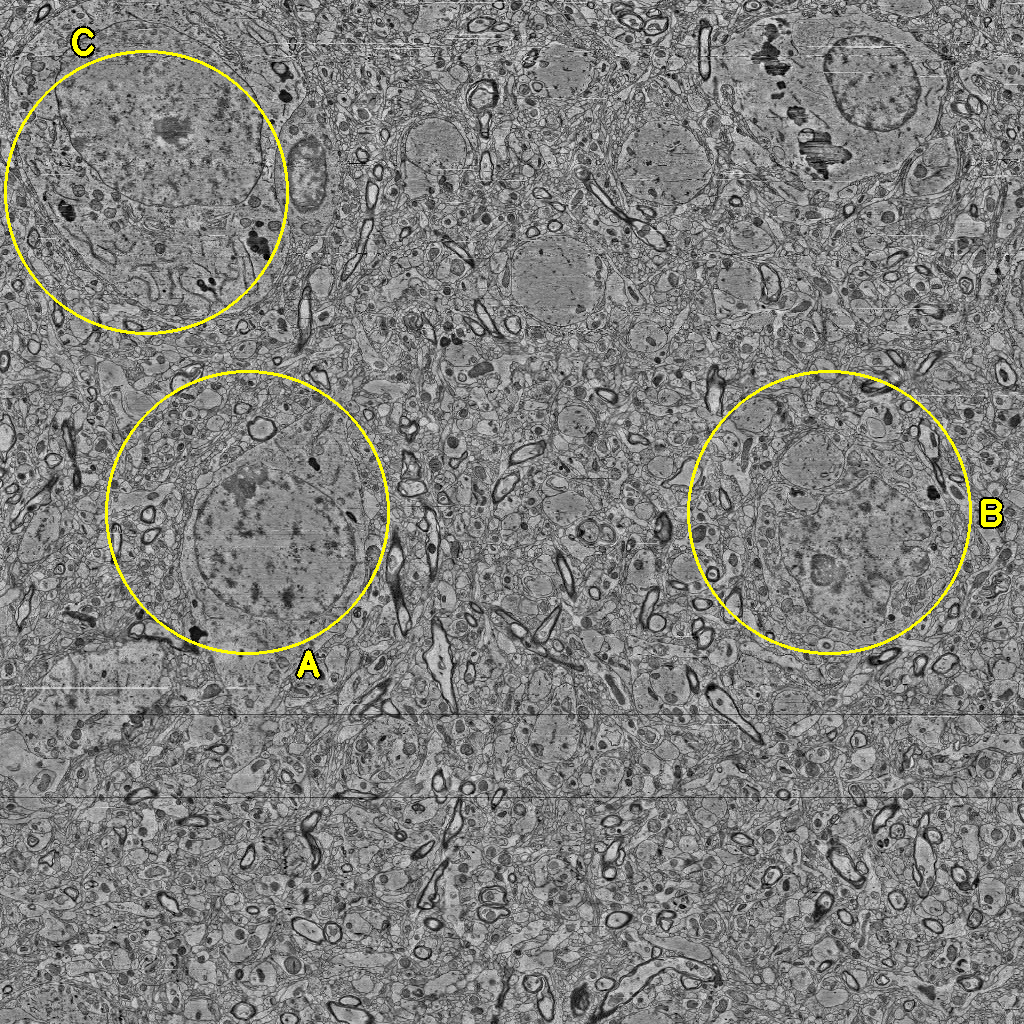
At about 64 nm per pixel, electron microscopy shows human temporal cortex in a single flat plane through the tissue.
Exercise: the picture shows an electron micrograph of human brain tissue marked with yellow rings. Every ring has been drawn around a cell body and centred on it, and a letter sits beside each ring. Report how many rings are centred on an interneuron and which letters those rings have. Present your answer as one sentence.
One finds two rings centred on an interneuron apiece, labelled with the letters A and B.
